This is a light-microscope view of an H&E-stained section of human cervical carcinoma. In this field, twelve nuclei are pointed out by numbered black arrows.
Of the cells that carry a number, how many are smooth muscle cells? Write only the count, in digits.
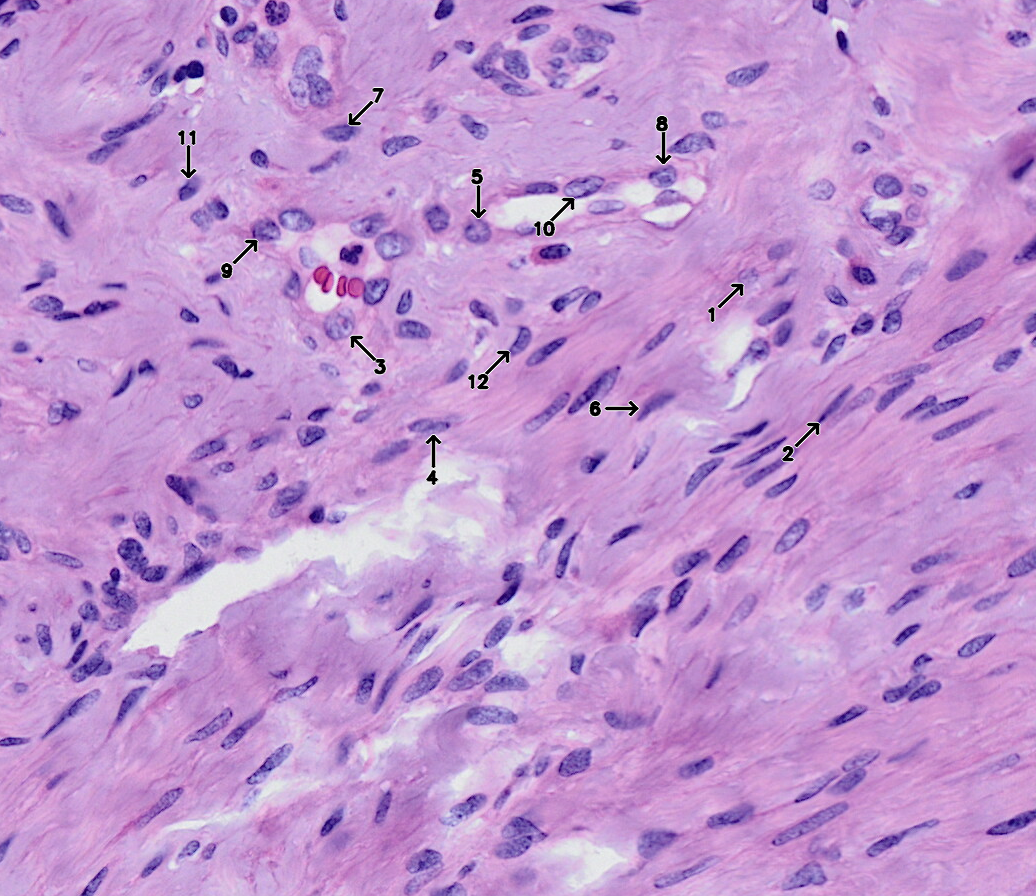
1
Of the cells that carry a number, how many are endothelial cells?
5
